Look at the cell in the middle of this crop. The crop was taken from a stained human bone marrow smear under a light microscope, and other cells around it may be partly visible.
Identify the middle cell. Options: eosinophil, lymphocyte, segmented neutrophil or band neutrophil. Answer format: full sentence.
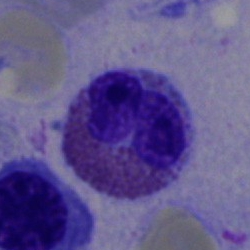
The middle of this crop holds an eosinophil.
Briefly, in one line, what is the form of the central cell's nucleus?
The nucleus here is split into two or more lobes, not one.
